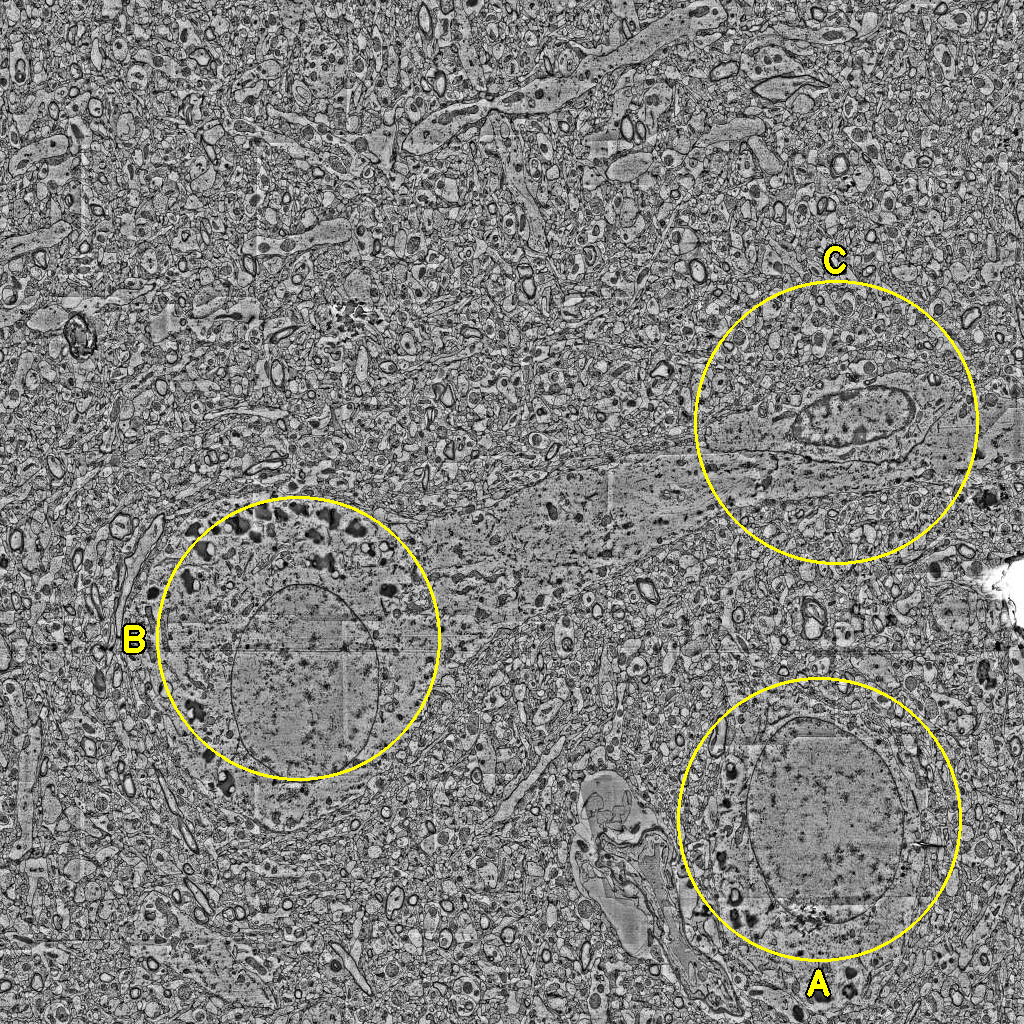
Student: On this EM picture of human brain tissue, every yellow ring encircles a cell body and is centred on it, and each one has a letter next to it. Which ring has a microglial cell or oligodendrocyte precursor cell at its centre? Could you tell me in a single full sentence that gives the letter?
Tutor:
Ring C is the one drawn around the cell you are asking about.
